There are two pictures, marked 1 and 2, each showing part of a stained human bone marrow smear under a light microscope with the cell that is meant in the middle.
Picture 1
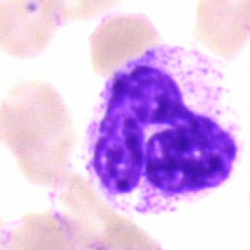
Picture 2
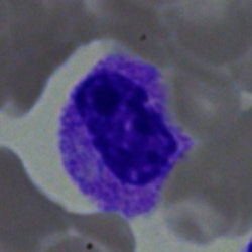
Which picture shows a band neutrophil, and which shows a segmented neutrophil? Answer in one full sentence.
The cell in picture 1 is a segmented neutrophil, and the one in picture 2 is a band neutrophil.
